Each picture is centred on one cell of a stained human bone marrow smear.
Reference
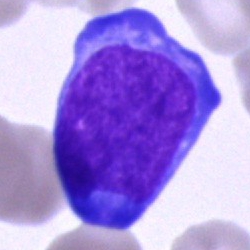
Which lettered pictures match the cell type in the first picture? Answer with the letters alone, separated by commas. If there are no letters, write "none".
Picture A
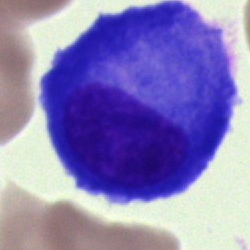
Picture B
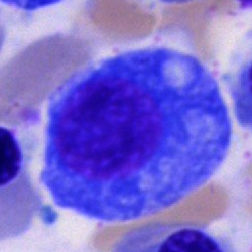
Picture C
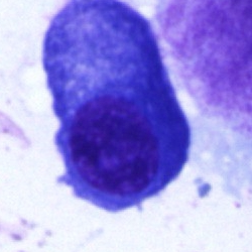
none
